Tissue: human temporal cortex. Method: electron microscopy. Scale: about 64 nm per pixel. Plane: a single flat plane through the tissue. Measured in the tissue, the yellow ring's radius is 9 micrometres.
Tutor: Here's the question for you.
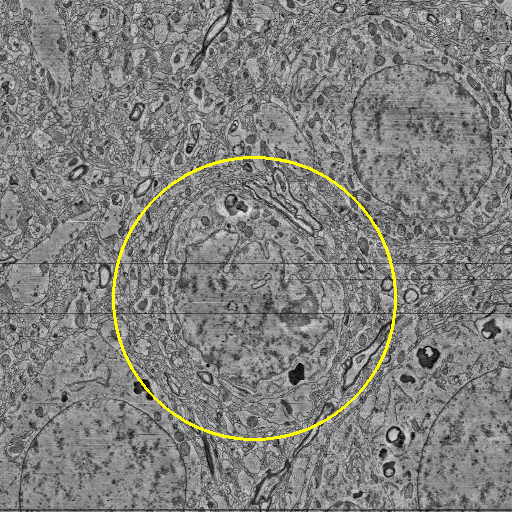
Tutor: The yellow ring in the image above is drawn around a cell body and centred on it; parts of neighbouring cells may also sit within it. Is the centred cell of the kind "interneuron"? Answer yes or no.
yes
